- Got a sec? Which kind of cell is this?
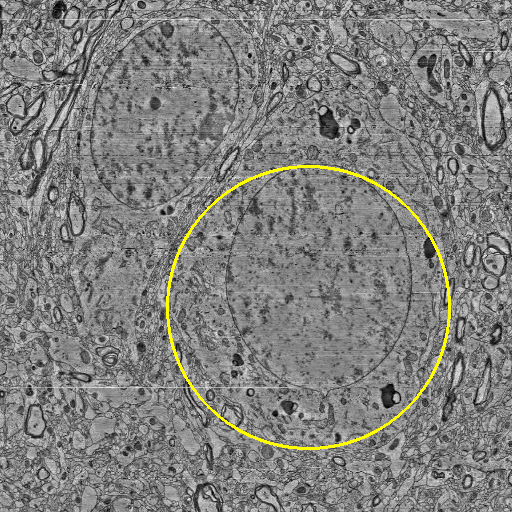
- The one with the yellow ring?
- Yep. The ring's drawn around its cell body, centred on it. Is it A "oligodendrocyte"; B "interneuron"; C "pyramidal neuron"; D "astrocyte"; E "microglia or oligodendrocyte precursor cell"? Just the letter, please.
C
